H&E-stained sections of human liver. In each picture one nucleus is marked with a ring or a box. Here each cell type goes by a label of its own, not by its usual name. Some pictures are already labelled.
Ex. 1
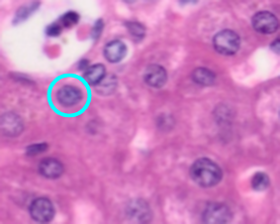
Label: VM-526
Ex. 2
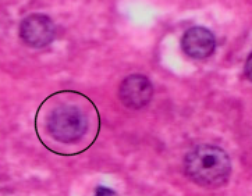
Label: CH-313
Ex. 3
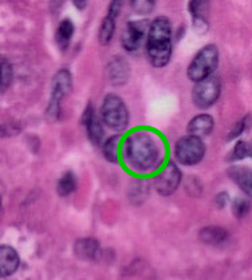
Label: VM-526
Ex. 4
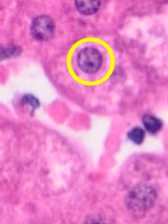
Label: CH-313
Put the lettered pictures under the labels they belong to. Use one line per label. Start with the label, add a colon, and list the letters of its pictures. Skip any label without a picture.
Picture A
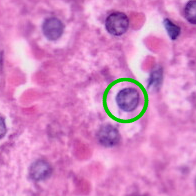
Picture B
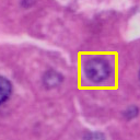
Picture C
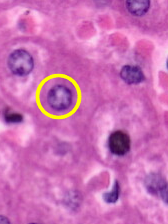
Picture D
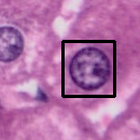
CH-313: A, B, C, D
